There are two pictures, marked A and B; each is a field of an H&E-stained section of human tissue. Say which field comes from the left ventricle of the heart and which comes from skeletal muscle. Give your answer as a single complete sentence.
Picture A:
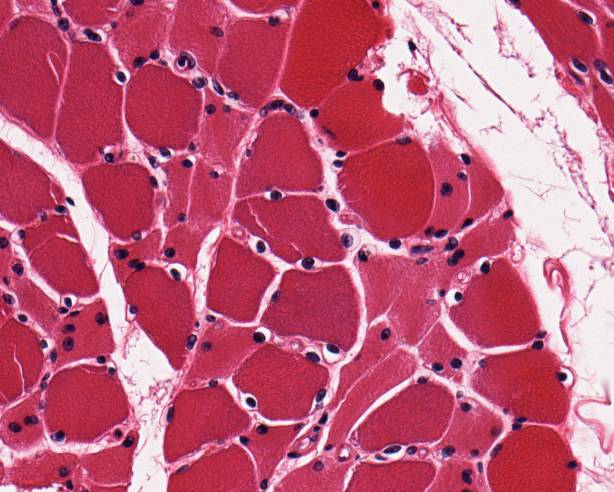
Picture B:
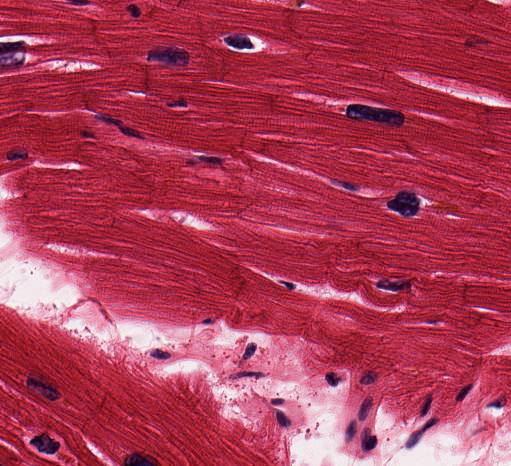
Picture B comes from the left ventricle of the heart, while picture A comes from skeletal muscle.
